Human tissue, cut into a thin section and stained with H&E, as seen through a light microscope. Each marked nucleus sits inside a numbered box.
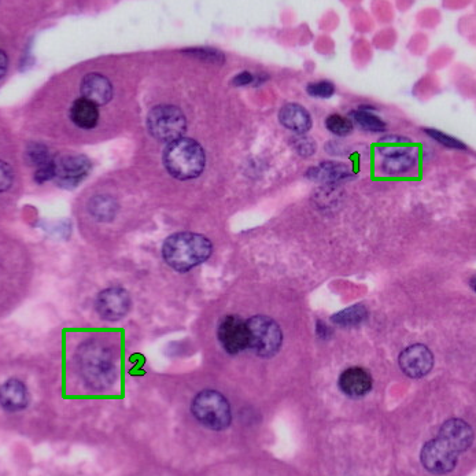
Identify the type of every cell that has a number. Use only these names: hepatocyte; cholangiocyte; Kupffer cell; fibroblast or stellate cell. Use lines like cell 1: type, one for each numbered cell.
cell 1: cholangiocyte
cell 2: hepatocyte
